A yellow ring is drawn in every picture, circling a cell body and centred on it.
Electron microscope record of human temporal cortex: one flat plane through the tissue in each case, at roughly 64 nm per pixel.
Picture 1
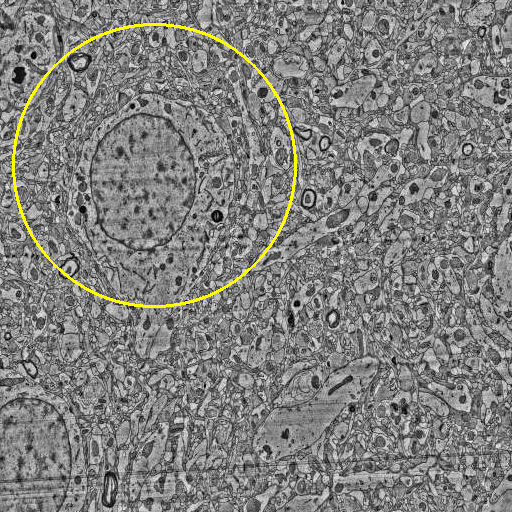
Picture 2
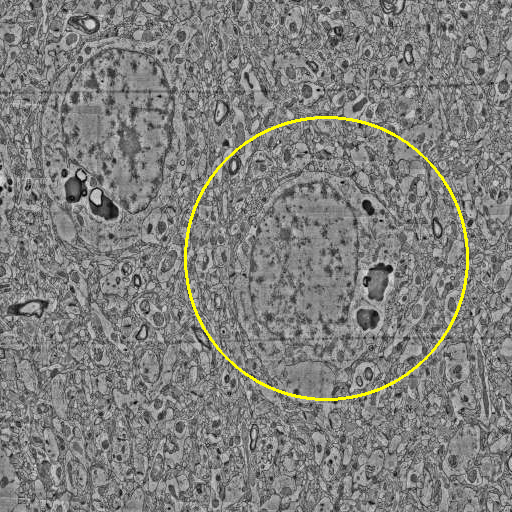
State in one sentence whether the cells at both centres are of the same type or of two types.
The cells at the two ring centres, one per picture, are of two types.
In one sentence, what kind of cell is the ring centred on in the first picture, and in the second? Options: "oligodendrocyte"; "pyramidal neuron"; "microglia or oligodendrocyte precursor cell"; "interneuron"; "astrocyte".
The cell at the centre of the second ring is an interneuron; the first ring's cell is a pyramidal neuron.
